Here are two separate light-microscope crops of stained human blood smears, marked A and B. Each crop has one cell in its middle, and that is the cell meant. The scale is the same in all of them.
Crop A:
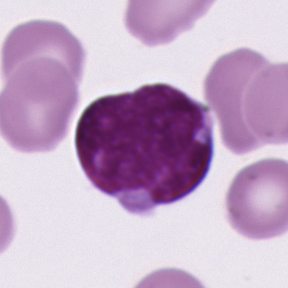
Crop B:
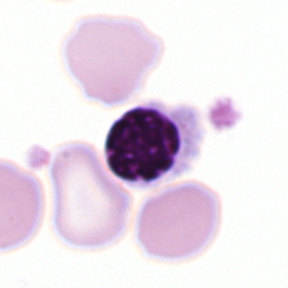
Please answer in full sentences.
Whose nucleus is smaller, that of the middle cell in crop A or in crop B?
It is the nucleus in crop B; the one in crop A has about 3 times its area.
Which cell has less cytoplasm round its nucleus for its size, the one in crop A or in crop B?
The nucleus fills more of the cell in crop A than in crop B.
